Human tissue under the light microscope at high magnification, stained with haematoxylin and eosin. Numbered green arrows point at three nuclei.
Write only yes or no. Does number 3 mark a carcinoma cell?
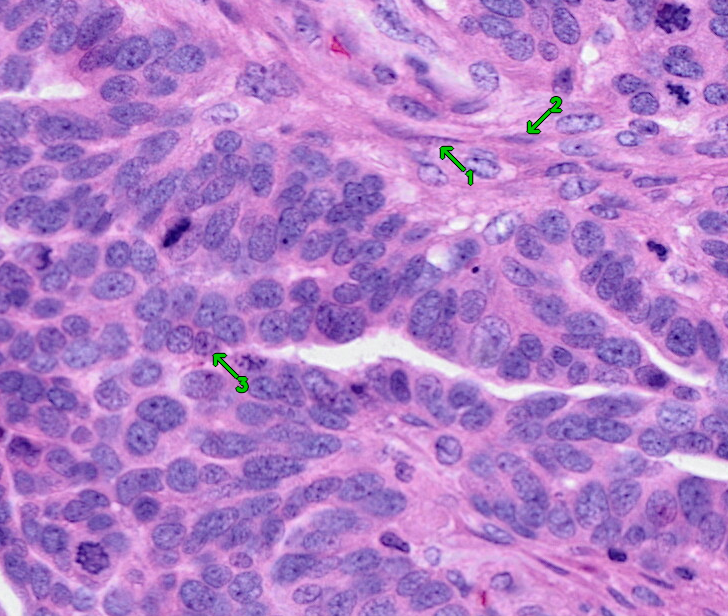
yes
